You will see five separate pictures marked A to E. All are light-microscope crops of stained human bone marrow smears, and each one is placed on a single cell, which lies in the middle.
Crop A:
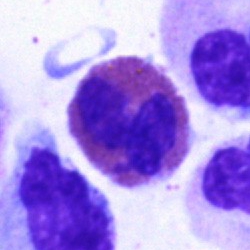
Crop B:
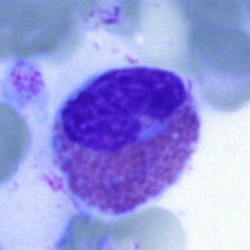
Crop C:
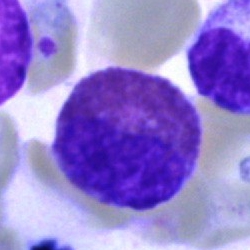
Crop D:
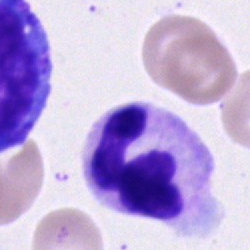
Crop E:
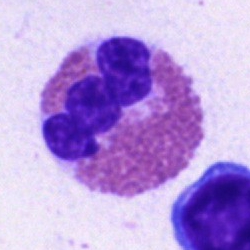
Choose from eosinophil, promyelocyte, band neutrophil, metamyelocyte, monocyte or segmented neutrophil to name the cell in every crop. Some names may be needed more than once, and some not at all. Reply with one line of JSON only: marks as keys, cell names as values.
{"A": "eosinophil", "B": "eosinophil", "C": "eosinophil", "D": "segmented neutrophil", "E": "eosinophil"}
